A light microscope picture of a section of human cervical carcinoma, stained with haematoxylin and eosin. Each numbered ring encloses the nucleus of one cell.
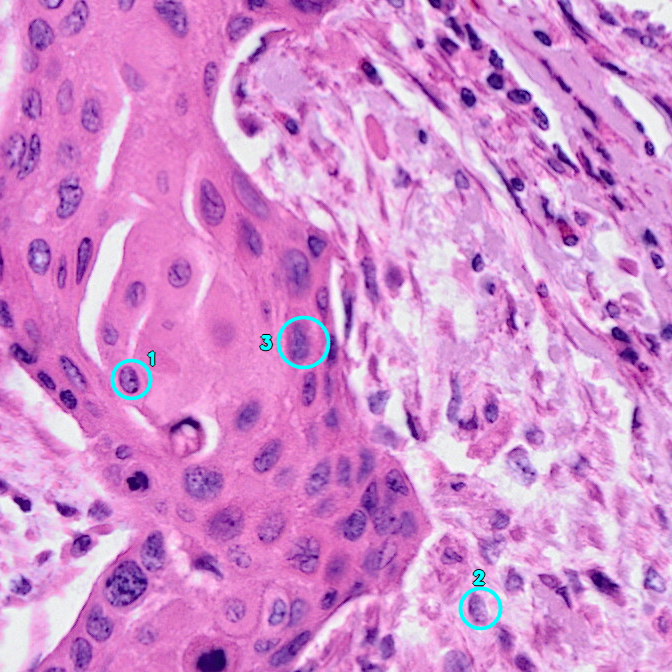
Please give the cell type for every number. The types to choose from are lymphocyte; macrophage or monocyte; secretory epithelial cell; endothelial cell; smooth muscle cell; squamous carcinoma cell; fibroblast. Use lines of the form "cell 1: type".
cell 1: squamous carcinoma cell
cell 2: fibroblast
cell 3: squamous carcinoma cell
